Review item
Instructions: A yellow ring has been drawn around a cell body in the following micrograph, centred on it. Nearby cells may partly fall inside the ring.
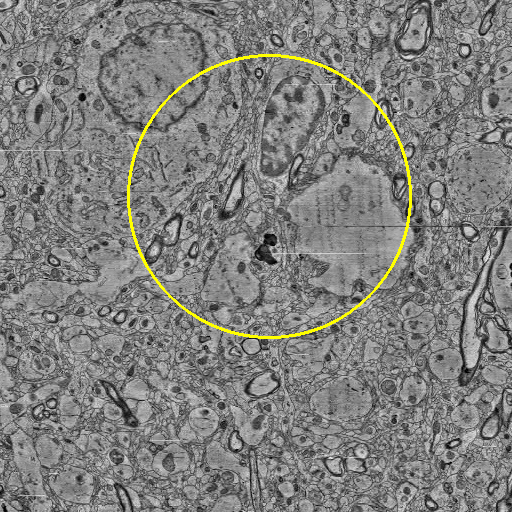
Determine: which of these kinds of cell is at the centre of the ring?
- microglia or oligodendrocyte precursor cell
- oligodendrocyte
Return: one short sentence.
The cell body in the middle of the ring is that of a microglial cell or oligodendrocyte precursor cell.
